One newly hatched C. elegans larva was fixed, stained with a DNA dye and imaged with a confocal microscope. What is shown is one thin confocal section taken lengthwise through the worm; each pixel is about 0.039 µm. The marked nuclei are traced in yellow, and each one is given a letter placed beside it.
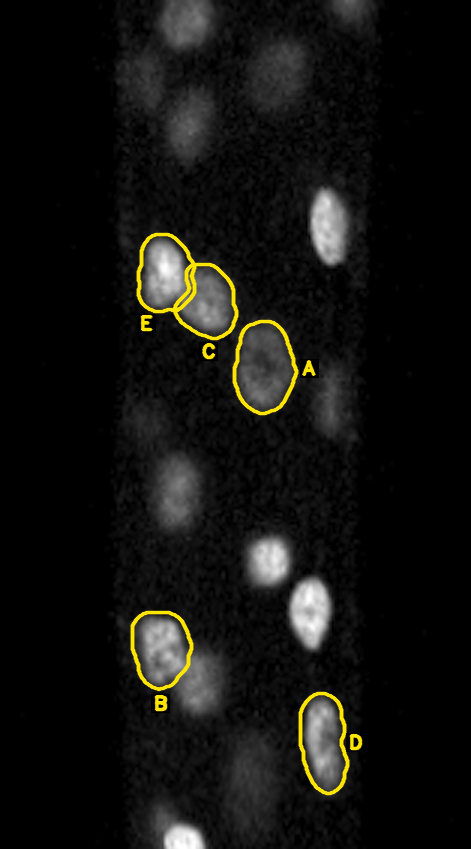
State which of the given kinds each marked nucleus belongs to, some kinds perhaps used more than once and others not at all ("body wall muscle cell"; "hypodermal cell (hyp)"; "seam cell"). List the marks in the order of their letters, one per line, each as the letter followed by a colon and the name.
A: hypodermal cell (hyp)
B: body wall muscle cell
C: seam cell
D: body wall muscle cell
E: body wall muscle cell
